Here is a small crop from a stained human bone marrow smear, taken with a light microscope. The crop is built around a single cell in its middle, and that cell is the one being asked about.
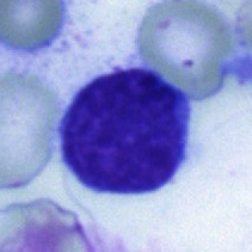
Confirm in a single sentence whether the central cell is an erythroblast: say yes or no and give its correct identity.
No, the middle of the crop holds a lymphocyte, not an erythroblast.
